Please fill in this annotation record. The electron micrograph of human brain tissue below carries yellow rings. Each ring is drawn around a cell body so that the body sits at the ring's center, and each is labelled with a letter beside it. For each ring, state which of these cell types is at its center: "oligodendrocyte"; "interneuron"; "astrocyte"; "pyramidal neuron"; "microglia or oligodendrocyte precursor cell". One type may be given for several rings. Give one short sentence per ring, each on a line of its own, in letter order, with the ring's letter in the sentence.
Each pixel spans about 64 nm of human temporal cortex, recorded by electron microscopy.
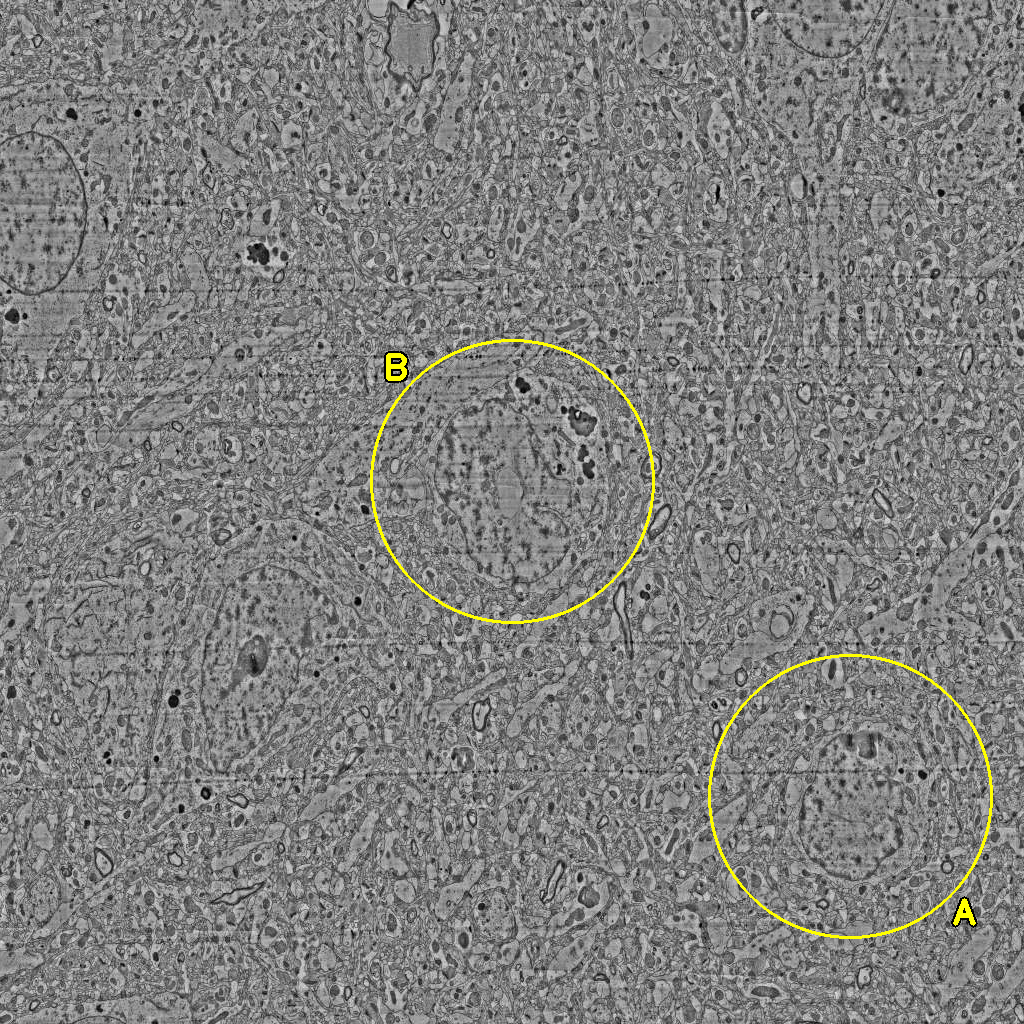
Ring A is drawn around an interneuron.
Ring B is drawn around an astrocyte.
